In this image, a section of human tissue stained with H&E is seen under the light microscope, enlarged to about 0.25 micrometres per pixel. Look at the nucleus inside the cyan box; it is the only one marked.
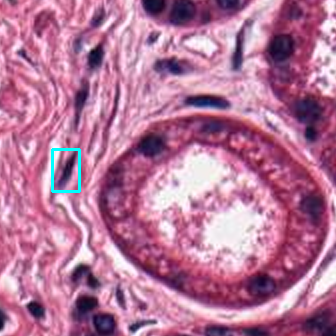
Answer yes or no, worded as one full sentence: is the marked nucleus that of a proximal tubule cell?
No, the cell bearing the marked nucleus is not a proximal tubule cell but a supporting cell.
